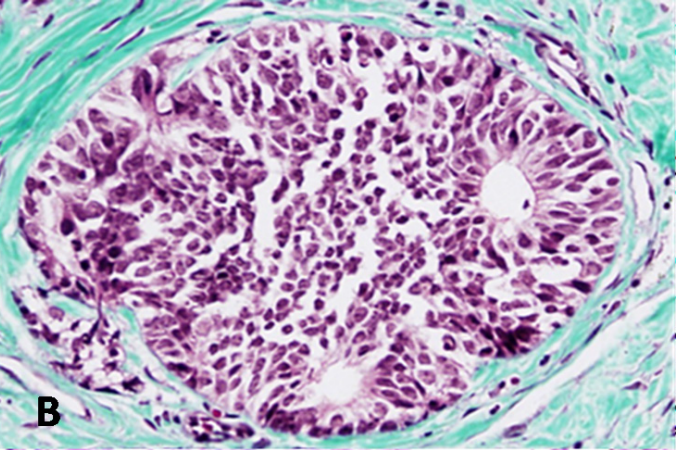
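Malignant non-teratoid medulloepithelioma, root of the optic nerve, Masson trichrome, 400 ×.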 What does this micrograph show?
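A well-delimited nest of poorly differentiated tumour cells is surrounded by green-stained collagenous stroma containing flattened spindle nuclei. The tumour cells are tightly crowded, with dark purple, oval to elongated nuclei and scanty pale cytoplasm; nuclei vary in size and shape. Within the nest, columnar cells line up radially around small clear central lumens, forming rosette-like structures, one at the right edge and one at the lower border. Elsewhere the cells are loosely arranged with irregular clefts and spaces between them, giving a partly disintegrating appearance.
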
